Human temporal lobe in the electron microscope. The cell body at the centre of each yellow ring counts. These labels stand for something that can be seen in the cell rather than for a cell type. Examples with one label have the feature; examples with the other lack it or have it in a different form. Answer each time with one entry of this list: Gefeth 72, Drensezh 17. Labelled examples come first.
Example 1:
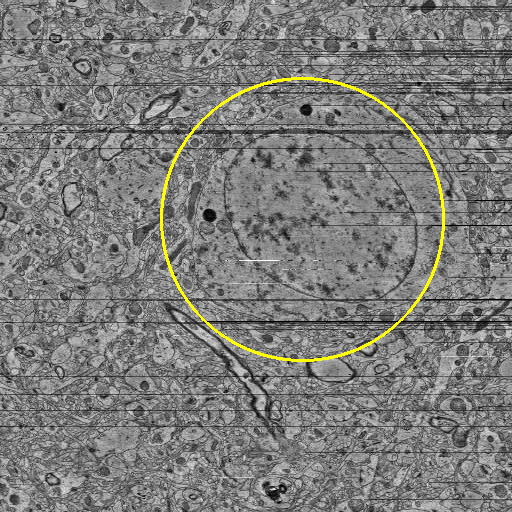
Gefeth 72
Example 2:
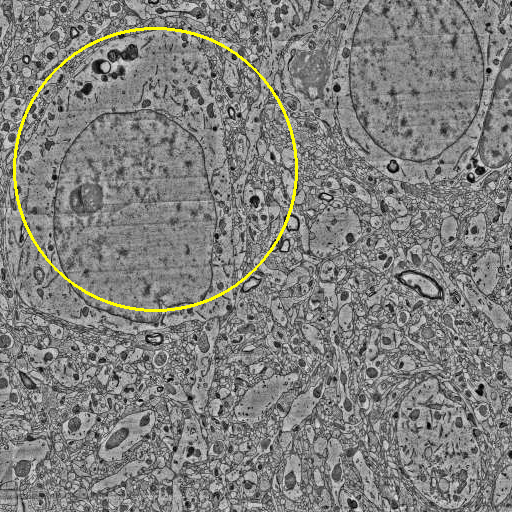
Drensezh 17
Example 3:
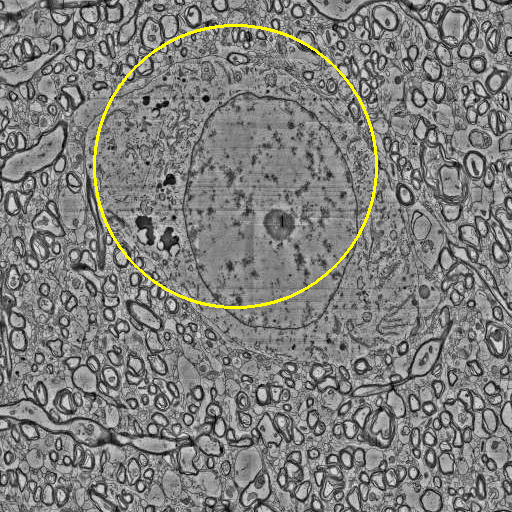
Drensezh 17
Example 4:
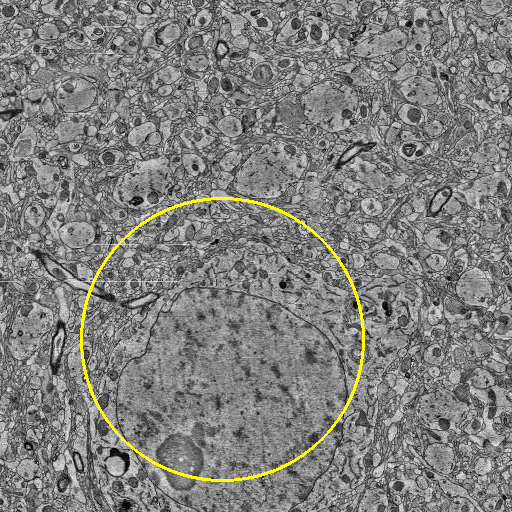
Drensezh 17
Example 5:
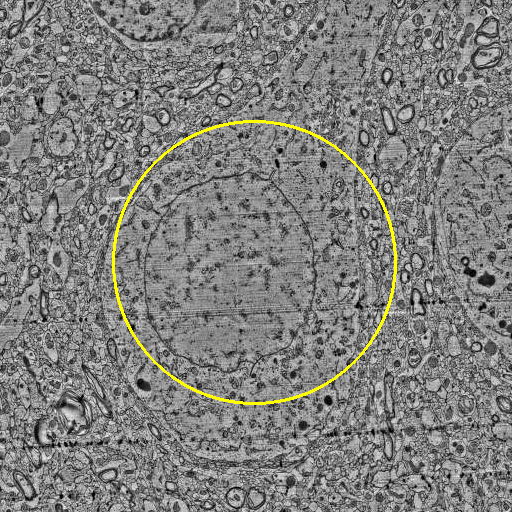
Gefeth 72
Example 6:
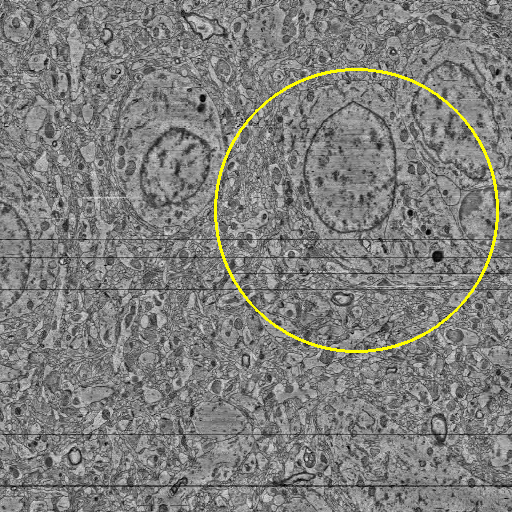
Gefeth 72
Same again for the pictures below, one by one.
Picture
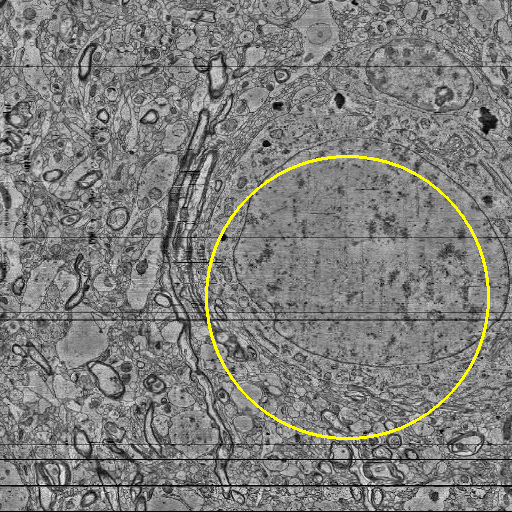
Gefeth 72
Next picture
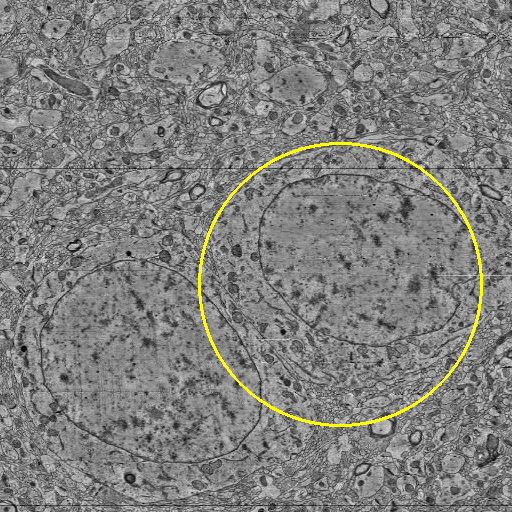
Gefeth 72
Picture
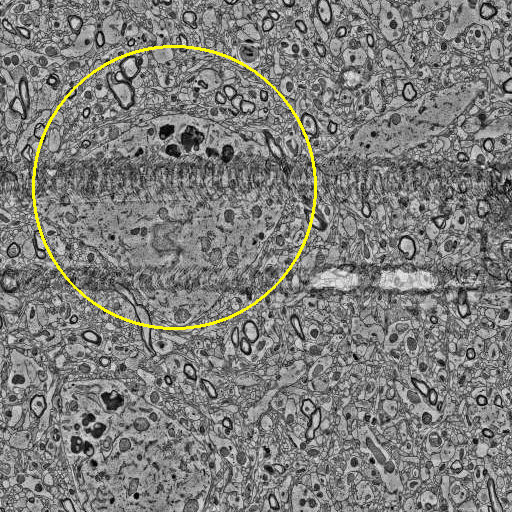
Gefeth 72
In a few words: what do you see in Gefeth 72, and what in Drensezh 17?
Gefeth 72, no nucleolus seen; Drensezh 17, nucleolus seen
